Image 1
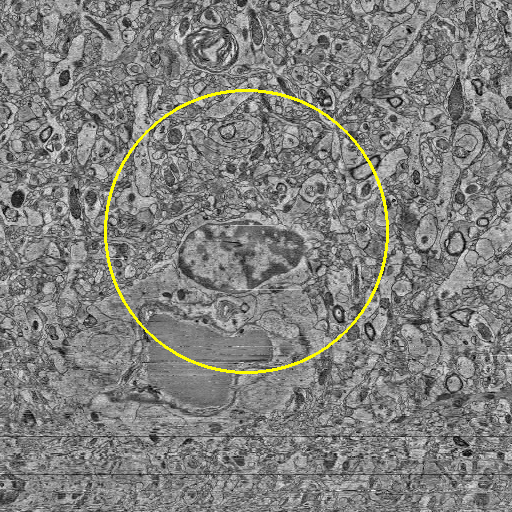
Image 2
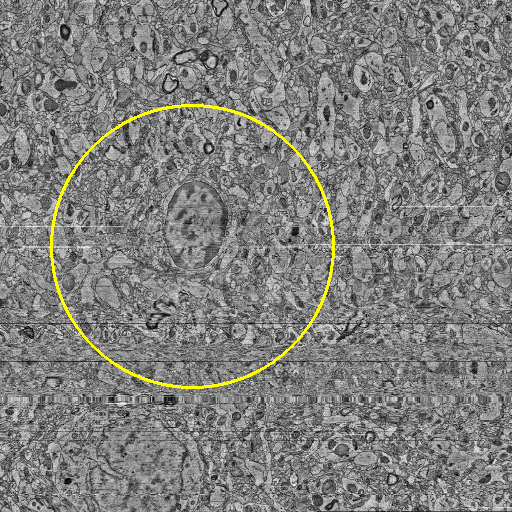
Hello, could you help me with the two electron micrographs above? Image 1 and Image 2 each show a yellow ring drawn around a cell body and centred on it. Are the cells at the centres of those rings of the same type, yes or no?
yes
